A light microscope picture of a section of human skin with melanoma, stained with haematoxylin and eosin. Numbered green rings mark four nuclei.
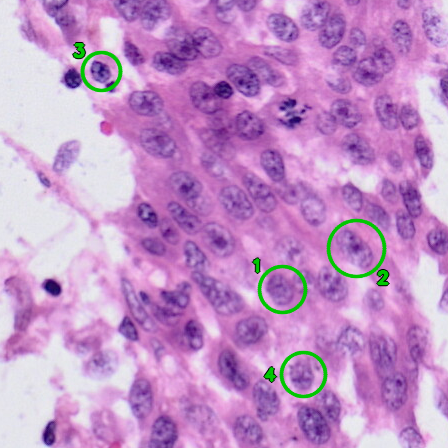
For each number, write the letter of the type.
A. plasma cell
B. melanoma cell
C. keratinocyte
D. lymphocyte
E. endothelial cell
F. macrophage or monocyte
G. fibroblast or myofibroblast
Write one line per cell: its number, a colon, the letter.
1: B
2: B
3: D
4: B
